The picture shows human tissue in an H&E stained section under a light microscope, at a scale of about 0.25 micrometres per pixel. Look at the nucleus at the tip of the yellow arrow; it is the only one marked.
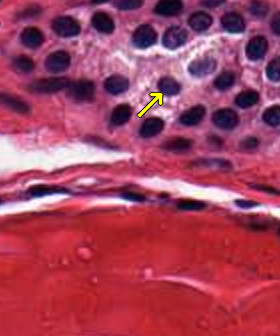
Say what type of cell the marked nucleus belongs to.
thyroid follicular cell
